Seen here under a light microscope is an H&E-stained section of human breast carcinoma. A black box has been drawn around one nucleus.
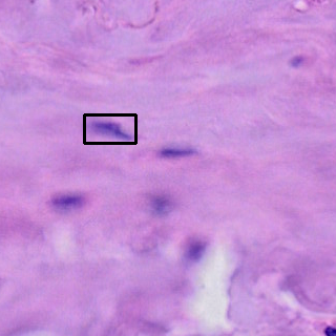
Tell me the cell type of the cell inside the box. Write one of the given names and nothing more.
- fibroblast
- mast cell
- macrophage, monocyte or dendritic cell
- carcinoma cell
fibroblast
